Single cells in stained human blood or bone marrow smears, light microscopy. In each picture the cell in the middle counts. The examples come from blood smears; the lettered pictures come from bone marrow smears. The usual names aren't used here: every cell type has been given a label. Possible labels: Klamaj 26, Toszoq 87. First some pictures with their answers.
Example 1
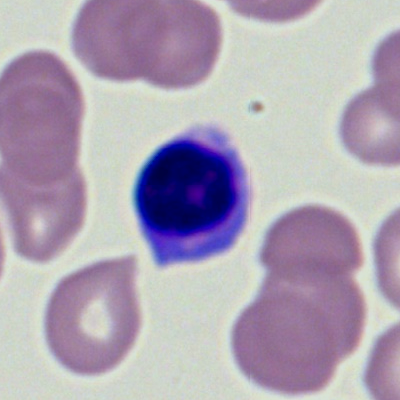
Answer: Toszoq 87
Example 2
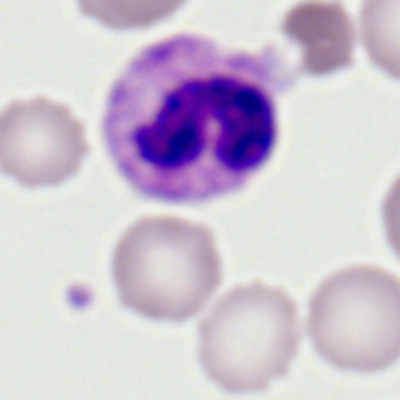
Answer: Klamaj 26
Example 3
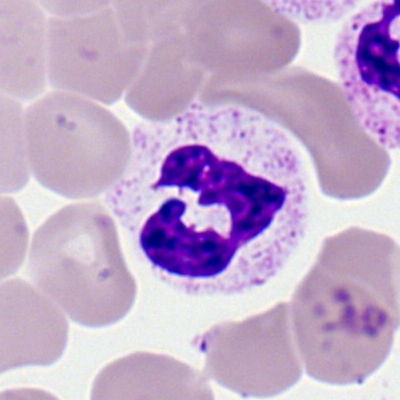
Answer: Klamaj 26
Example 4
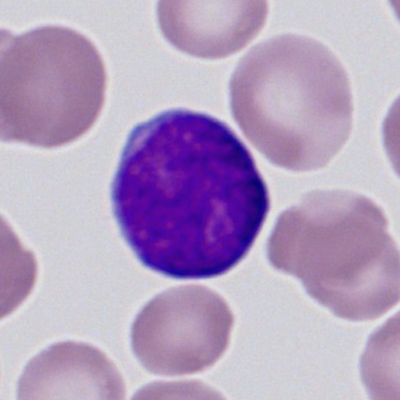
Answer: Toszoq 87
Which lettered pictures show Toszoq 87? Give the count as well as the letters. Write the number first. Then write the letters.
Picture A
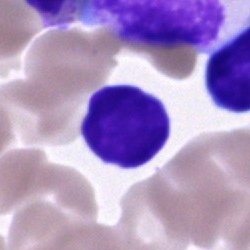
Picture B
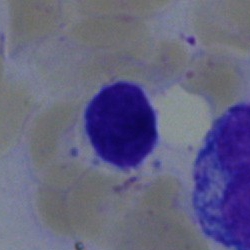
2, namely A, B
